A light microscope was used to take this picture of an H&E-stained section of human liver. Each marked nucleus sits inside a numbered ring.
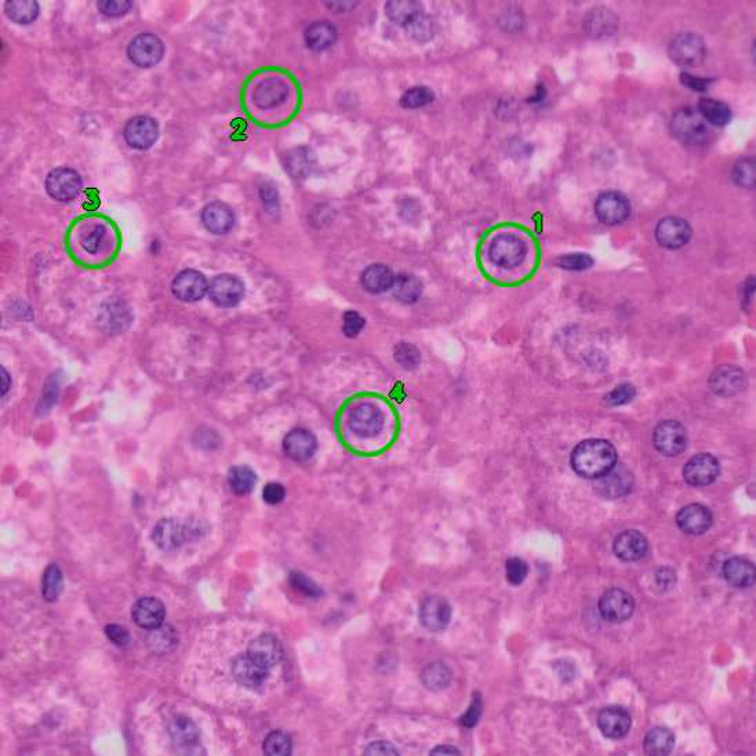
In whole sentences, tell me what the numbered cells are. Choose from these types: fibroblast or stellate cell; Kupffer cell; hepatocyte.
Cells 1, 2 and 4 are hepatocytes. Cell 3 is a Kupffer cell.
